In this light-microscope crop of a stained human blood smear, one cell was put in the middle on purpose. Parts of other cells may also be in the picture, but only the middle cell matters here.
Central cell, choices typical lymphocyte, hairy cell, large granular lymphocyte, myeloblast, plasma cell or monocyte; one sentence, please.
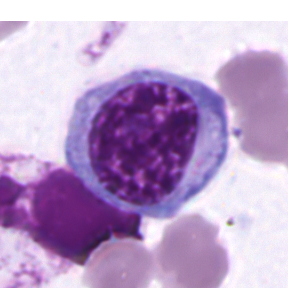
Among the cells in view, the one in the middle is a plasma cell.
